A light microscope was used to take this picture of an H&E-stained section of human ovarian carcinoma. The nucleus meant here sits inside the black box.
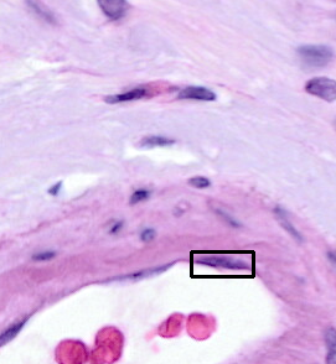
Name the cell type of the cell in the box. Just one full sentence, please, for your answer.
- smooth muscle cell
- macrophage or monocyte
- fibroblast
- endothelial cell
In the tissue under study, the cell in the box is an endothelial cell.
